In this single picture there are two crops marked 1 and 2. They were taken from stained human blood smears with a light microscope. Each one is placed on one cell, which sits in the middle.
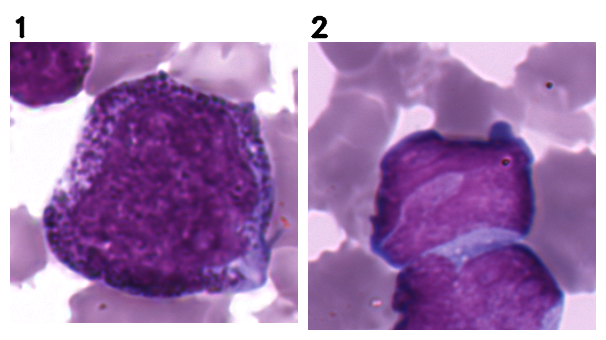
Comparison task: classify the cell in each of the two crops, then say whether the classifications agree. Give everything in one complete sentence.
No, the labels go like this: crop 1 is a promyelocyte and crop 2 is a blast.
